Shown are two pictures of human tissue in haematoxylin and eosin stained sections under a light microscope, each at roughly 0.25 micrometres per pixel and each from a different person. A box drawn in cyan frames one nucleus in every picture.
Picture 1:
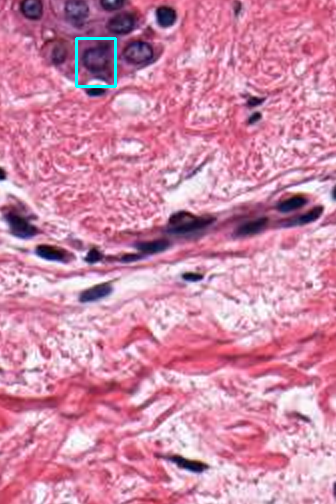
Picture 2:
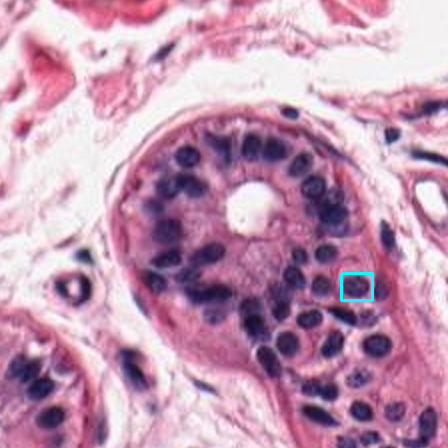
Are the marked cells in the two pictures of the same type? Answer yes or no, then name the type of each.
No, the first is a keratinocyte and the second a sweat gland cell.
